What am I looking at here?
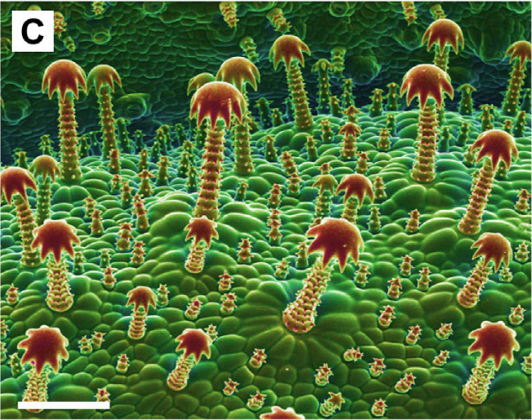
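This plant epidermis bears complex glochidiate trichomes rising from a surface of rounded epidermal cells. Each large trichome has a slender stalk ringed with small barbs and ends in a crown of backward-curved hooks, and the crowns are colored red; many much smaller barbed hairs stand between them.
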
